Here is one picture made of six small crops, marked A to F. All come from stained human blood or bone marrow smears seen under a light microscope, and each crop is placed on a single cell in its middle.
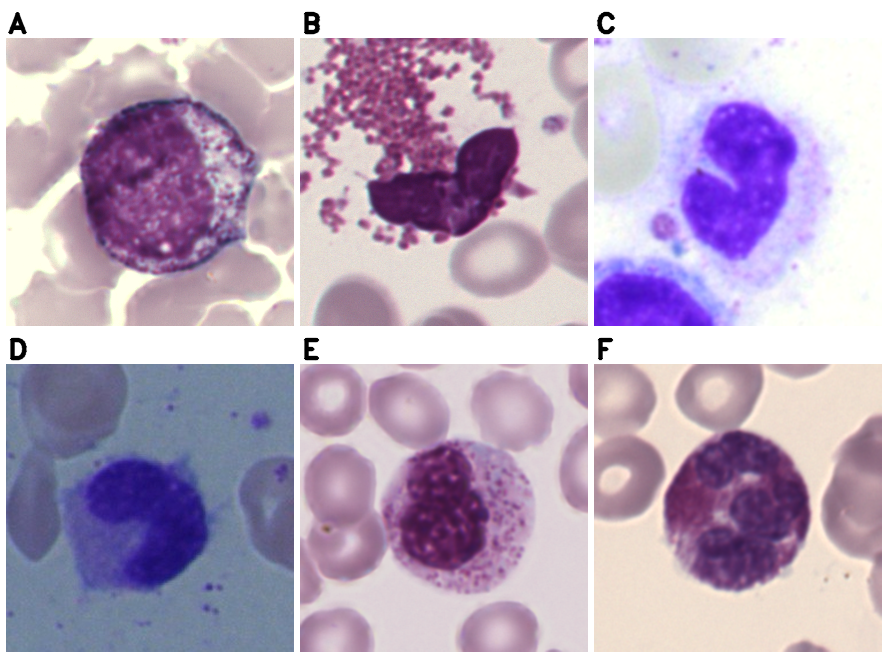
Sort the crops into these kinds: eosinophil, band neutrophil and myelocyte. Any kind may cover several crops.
A: myelocyte
B: eosinophil
C: band neutrophil
D: band neutrophil
E: band neutrophil
F: eosinophil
